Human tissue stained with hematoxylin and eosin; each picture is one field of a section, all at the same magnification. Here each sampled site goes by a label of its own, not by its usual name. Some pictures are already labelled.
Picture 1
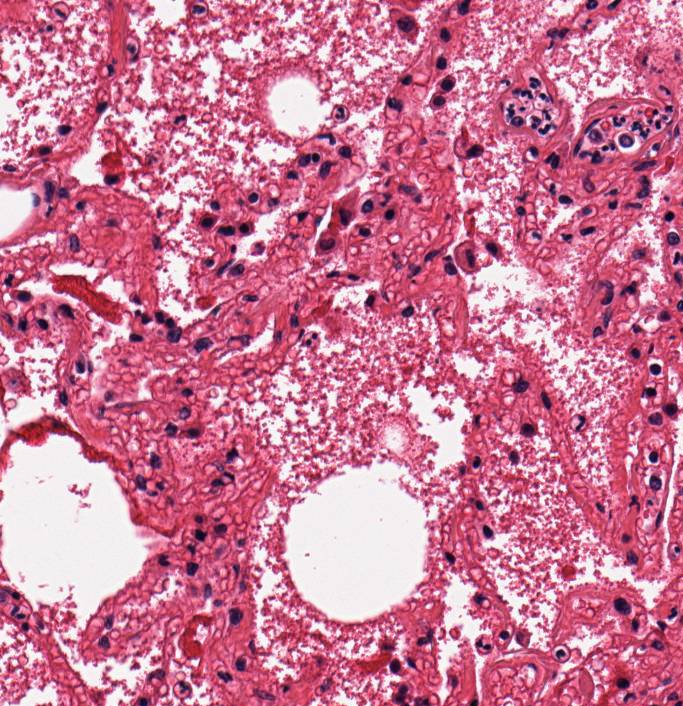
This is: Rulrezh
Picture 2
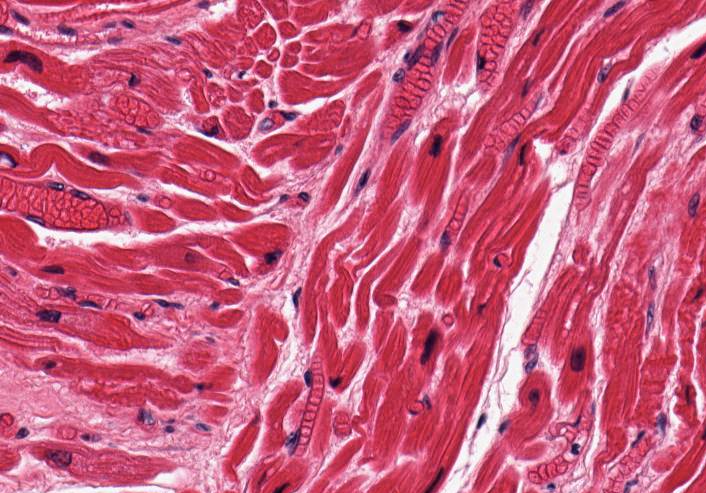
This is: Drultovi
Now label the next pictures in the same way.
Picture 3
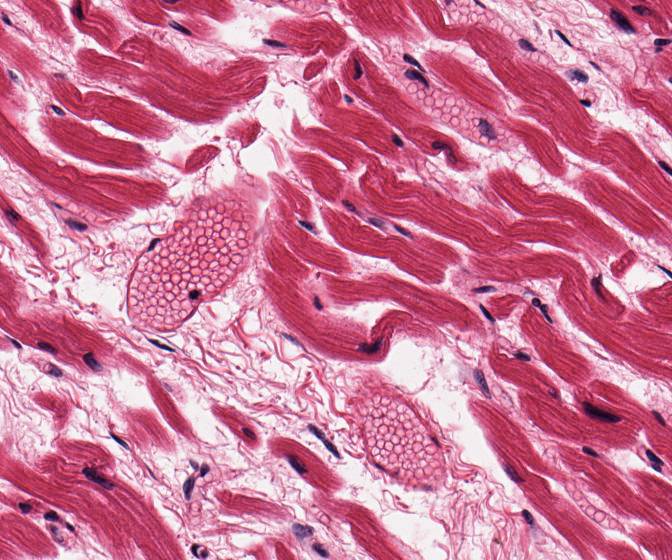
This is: Drultovi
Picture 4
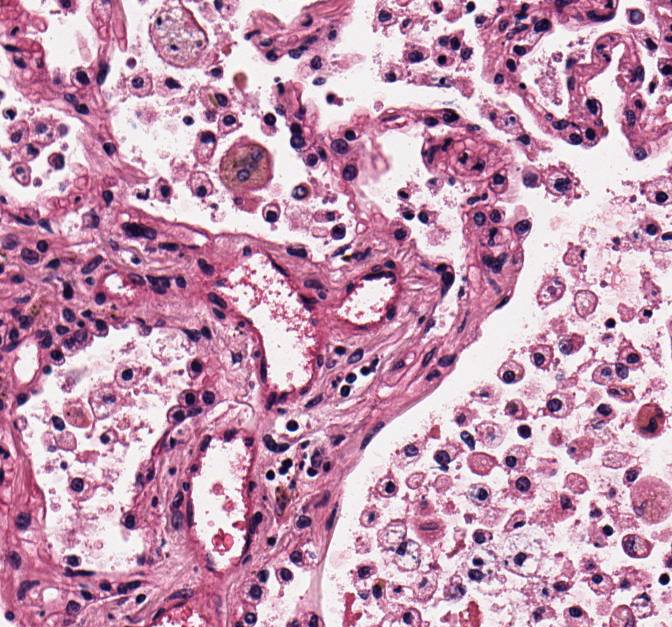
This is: Rulrezh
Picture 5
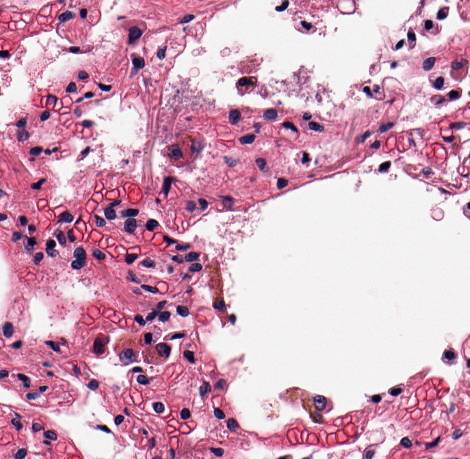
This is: Rulrezh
